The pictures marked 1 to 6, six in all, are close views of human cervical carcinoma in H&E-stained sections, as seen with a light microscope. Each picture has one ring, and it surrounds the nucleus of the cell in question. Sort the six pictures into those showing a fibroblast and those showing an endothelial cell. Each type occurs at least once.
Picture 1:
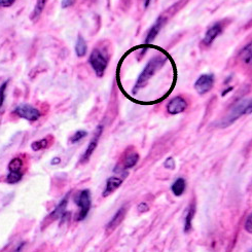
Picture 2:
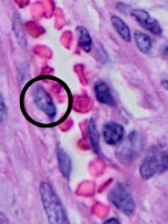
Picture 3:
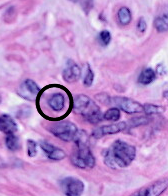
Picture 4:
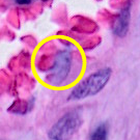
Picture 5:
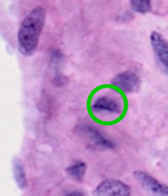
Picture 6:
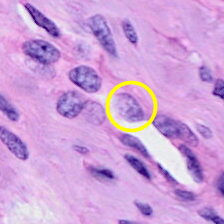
1: fibroblast
2: endothelial cell
3: endothelial cell
4: endothelial cell
5: fibroblast
6: endothelial cell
